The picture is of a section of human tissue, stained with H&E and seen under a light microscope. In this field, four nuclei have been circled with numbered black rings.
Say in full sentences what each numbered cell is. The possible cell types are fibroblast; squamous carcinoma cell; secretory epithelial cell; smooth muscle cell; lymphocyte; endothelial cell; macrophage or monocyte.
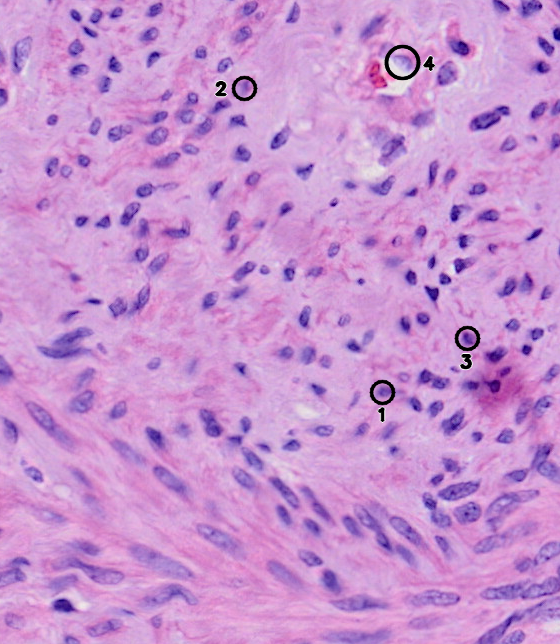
Cell 1 is a smooth muscle cell, cell 2 is a smooth muscle cell, cell 3 is a smooth muscle cell and cell 4 is an endothelial cell.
